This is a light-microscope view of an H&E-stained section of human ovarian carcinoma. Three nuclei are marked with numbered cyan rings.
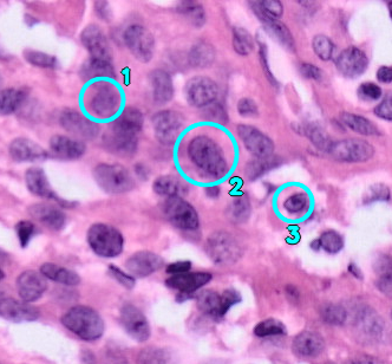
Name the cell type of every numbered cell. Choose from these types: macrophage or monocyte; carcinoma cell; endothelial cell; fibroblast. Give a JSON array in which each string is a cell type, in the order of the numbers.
["carcinoma cell", "carcinoma cell", "macrophage or monocyte"]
